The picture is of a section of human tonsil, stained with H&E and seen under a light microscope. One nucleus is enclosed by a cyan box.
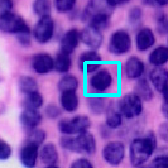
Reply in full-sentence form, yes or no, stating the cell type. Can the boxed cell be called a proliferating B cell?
No, the boxed cell is described as a small lymphocyte and not as a proliferating B cell.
